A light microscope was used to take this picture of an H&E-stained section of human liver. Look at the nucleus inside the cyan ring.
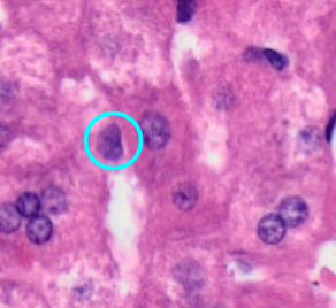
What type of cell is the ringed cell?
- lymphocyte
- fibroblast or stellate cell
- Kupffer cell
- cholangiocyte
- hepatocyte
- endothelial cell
endothelial cell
